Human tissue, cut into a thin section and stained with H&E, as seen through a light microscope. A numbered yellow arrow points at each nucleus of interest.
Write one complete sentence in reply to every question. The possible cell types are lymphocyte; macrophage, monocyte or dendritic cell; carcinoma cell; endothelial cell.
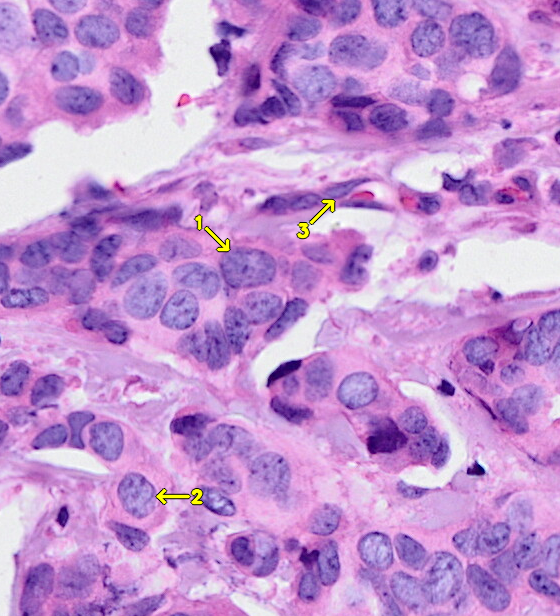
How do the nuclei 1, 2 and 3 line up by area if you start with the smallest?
From smallest to largest, the order is 3, 2, 1.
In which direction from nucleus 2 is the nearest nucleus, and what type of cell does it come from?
The nearest one is a carcinoma cell, found below nucleus 2.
